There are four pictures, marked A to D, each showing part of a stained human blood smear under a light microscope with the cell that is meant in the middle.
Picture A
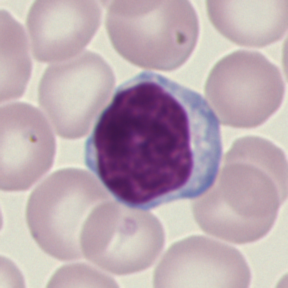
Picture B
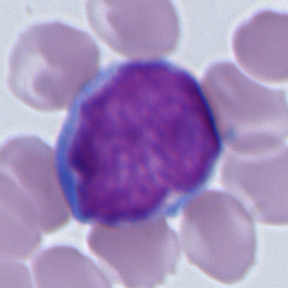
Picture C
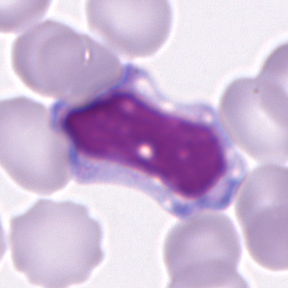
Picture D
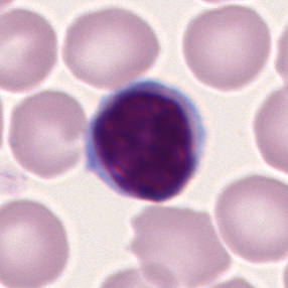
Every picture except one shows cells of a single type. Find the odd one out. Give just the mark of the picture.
B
